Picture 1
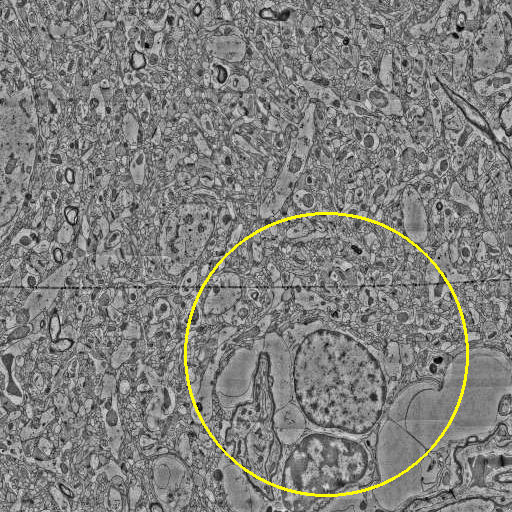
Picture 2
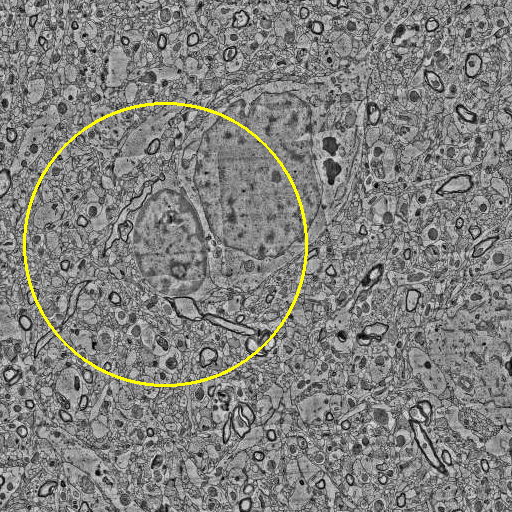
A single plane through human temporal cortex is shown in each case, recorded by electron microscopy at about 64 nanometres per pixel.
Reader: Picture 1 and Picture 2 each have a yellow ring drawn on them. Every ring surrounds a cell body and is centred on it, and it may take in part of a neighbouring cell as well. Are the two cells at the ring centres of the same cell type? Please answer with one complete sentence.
No, the cells are of two cell types.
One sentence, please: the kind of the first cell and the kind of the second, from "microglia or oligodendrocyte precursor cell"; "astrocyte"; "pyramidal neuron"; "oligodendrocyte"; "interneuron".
The ring in the first picture surrounds a microglial cell or oligodendrocyte precursor cell, and the ring in the second surrounds an oligodendrocyte.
